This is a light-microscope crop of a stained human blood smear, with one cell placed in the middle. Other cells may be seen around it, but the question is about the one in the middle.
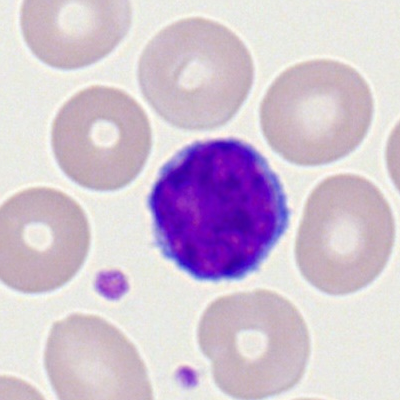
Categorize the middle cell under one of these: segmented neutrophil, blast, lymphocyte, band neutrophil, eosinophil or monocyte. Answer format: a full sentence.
Centrally within this crop lies a lymphocyte.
